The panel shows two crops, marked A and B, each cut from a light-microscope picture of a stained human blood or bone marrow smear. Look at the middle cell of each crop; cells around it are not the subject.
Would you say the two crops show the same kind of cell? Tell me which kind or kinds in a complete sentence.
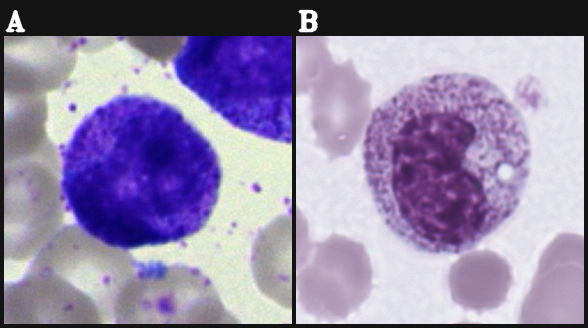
Yes, in the case of both crops, the central cells are metamyelocytes.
